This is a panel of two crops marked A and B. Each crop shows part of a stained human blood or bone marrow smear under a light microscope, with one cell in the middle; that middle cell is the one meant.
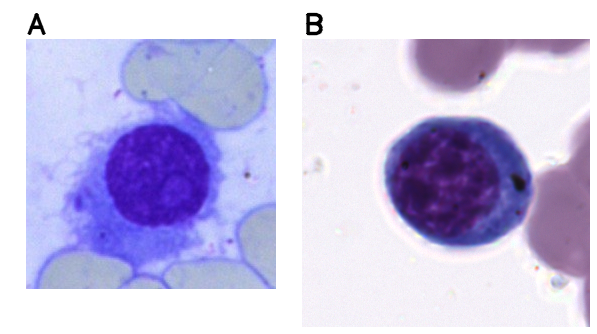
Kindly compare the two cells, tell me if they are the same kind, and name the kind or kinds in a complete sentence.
Yes, the cells found in the middle of both crops are plasma cells.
